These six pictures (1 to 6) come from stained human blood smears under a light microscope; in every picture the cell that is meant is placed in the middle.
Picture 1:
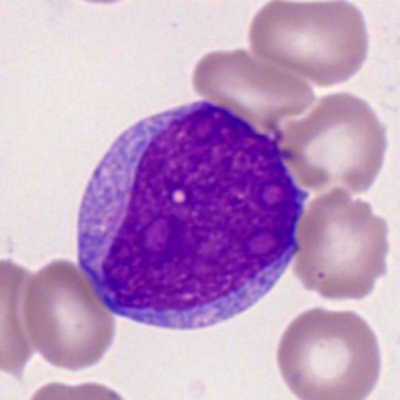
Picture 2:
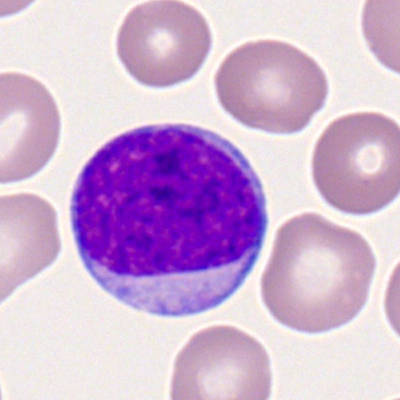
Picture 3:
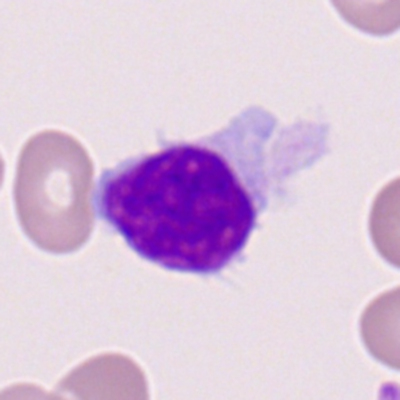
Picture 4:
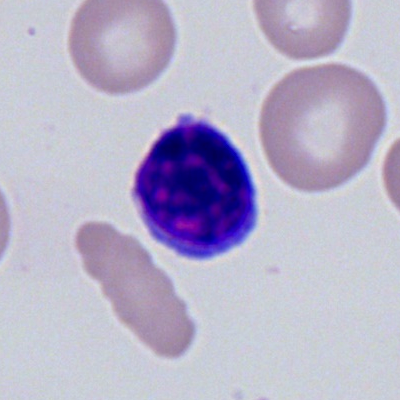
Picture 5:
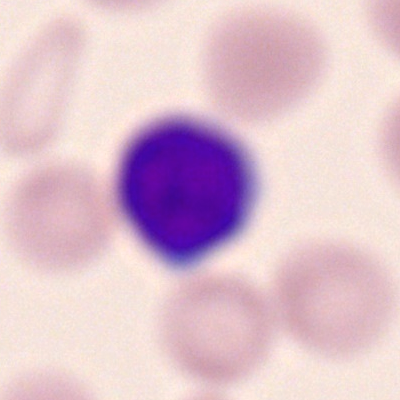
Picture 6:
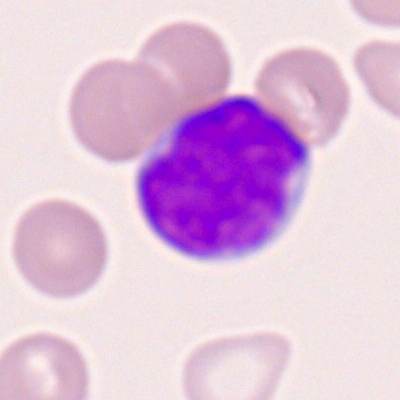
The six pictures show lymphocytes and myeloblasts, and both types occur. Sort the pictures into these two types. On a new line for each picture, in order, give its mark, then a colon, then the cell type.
1: myeloblast
2: myeloblast
3: lymphocyte
4: lymphocyte
5: lymphocyte
6: myeloblast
